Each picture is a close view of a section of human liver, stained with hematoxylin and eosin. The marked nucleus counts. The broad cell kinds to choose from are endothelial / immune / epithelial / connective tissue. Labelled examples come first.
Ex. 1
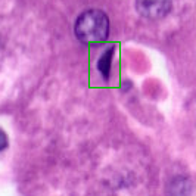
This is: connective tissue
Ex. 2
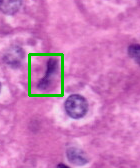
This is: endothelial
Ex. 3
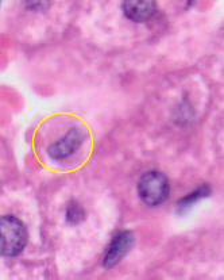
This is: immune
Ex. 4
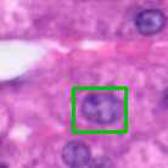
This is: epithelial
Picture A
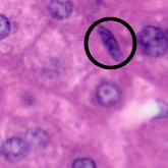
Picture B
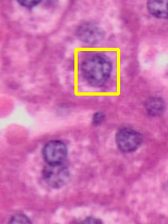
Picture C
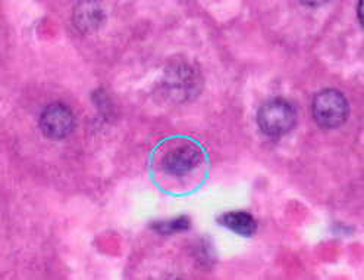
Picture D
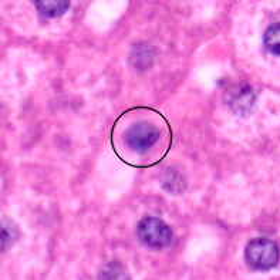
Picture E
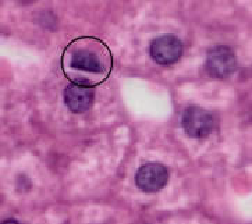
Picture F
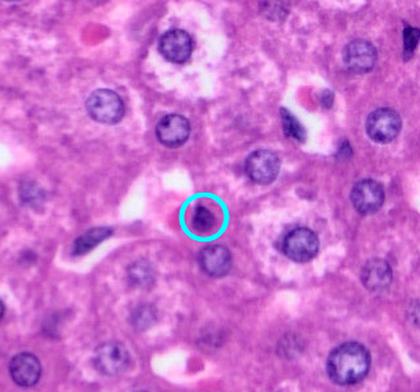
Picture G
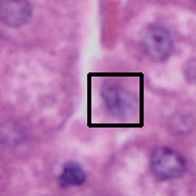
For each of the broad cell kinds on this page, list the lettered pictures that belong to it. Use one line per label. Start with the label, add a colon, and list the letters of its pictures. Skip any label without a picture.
endothelial: D
immune: G
epithelial: B
connective tissue: A, C, E, F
